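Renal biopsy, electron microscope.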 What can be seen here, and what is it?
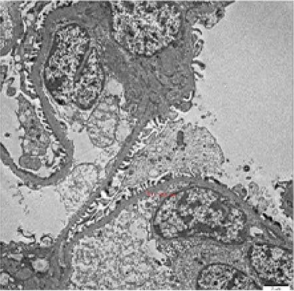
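This electron micrograph shows glomerular capillary loops with their surrounding cells. Cells with large oval nuclei containing granular chromatin lie against the loops. Along the outer surface of the basement membrane, small foot-like processes are present in some stretches, while in other stretches the cell covering is broad and continuous. No distinct dark dense deposits are seen along the basement membrane.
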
